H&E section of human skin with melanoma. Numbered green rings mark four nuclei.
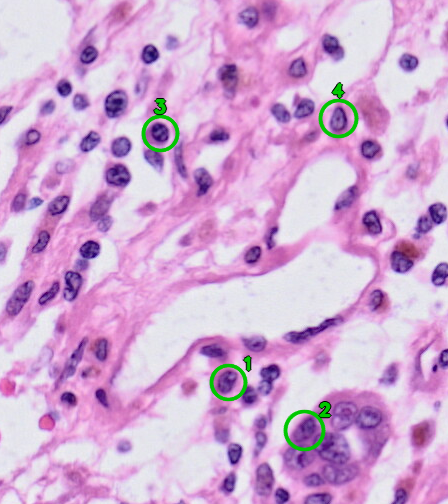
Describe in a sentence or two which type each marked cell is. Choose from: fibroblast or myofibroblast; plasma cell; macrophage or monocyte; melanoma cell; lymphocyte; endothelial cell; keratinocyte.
Cells 1 and 4 are macrophages or monocytes. Cell 2 is a melanoma cell. Cell 3 is a plasma cell.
